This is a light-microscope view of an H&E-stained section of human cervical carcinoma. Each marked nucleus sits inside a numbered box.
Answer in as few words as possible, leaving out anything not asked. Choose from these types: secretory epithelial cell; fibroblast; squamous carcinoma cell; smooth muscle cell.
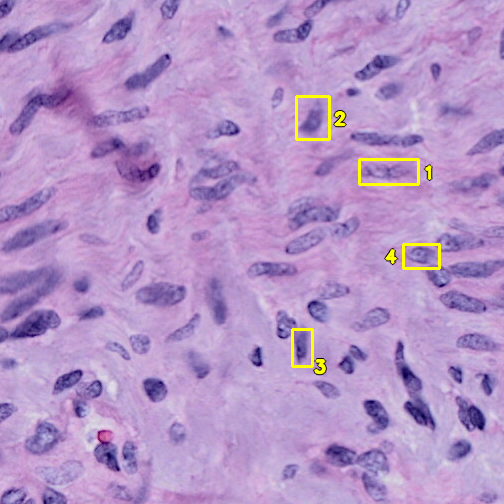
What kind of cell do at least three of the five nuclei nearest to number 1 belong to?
smooth muscle cell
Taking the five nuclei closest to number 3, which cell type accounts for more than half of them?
fibroblast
